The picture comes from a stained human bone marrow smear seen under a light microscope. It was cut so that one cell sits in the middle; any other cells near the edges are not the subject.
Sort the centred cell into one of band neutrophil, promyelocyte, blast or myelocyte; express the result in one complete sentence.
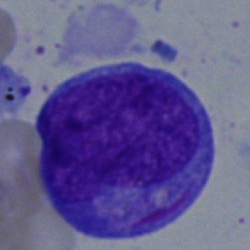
The middle position in this crop is taken by a blast.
